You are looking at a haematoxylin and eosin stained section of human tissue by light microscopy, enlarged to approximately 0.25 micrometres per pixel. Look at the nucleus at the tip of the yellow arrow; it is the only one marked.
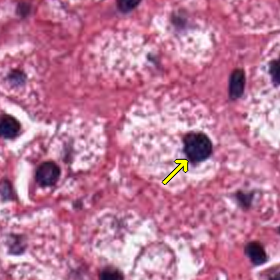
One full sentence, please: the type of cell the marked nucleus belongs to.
The cell to which the marked nucleus belongs is an adrenal cortical cell.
